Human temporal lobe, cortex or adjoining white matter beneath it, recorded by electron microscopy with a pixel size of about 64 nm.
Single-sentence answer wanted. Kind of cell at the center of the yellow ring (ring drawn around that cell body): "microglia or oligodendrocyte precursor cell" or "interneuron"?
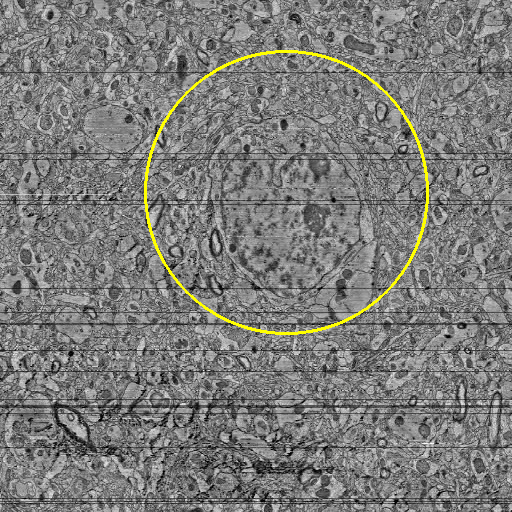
The cell centered in the ring is an interneuron.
